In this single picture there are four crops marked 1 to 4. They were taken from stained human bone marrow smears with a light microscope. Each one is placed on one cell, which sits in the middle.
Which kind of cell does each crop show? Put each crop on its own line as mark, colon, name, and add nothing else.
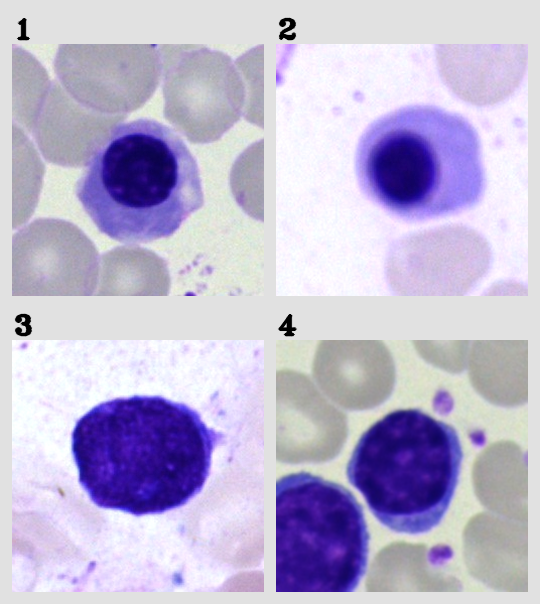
1: erythroblast
2: erythroblast
3: blast
4: lymphocyte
